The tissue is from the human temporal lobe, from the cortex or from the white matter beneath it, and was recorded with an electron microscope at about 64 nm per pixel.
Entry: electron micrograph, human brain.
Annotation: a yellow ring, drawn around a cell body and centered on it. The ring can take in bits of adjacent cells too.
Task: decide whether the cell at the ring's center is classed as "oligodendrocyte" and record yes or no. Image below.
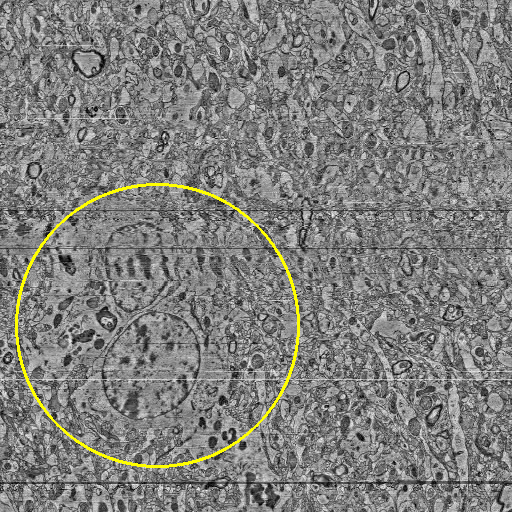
no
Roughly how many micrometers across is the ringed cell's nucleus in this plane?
The ringed cell's nucleus measures approximately 7 by 6 micrometres in this plane.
